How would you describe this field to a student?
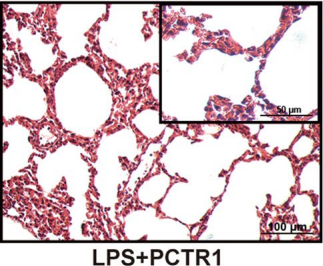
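This is lung tissue stained with hematoxylin and eosin, showing many open alveolar air spaces separated by alveolar walls. The walls are thin to moderately thickened strands of pink-staining tissue carrying scattered purple nuclei. The air spaces are large and mostly empty, giving the tissue an open, lace-like pattern. In places the walls appear somewhat thickened and more cellular. The inset at higher power shows a branching septum lined by cells with dark purple nuclei and pink cytoplasm.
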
